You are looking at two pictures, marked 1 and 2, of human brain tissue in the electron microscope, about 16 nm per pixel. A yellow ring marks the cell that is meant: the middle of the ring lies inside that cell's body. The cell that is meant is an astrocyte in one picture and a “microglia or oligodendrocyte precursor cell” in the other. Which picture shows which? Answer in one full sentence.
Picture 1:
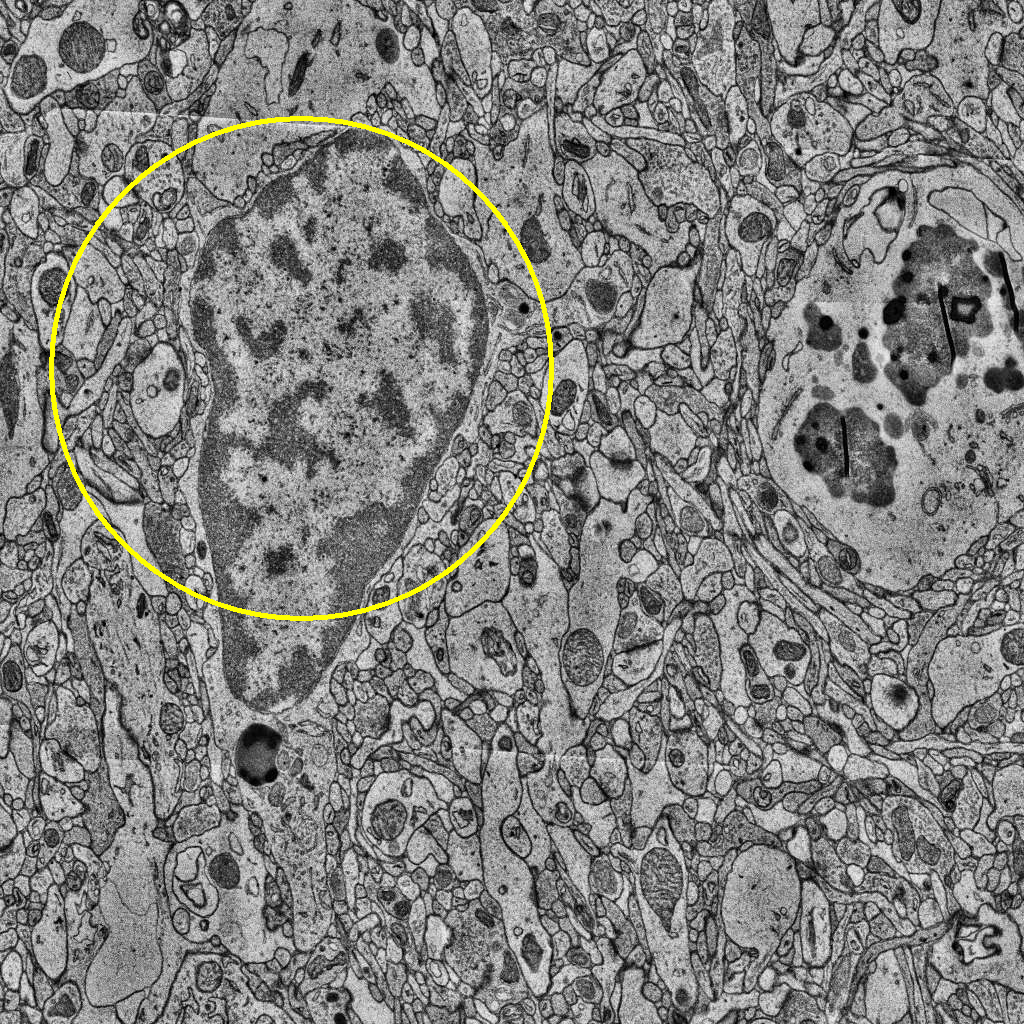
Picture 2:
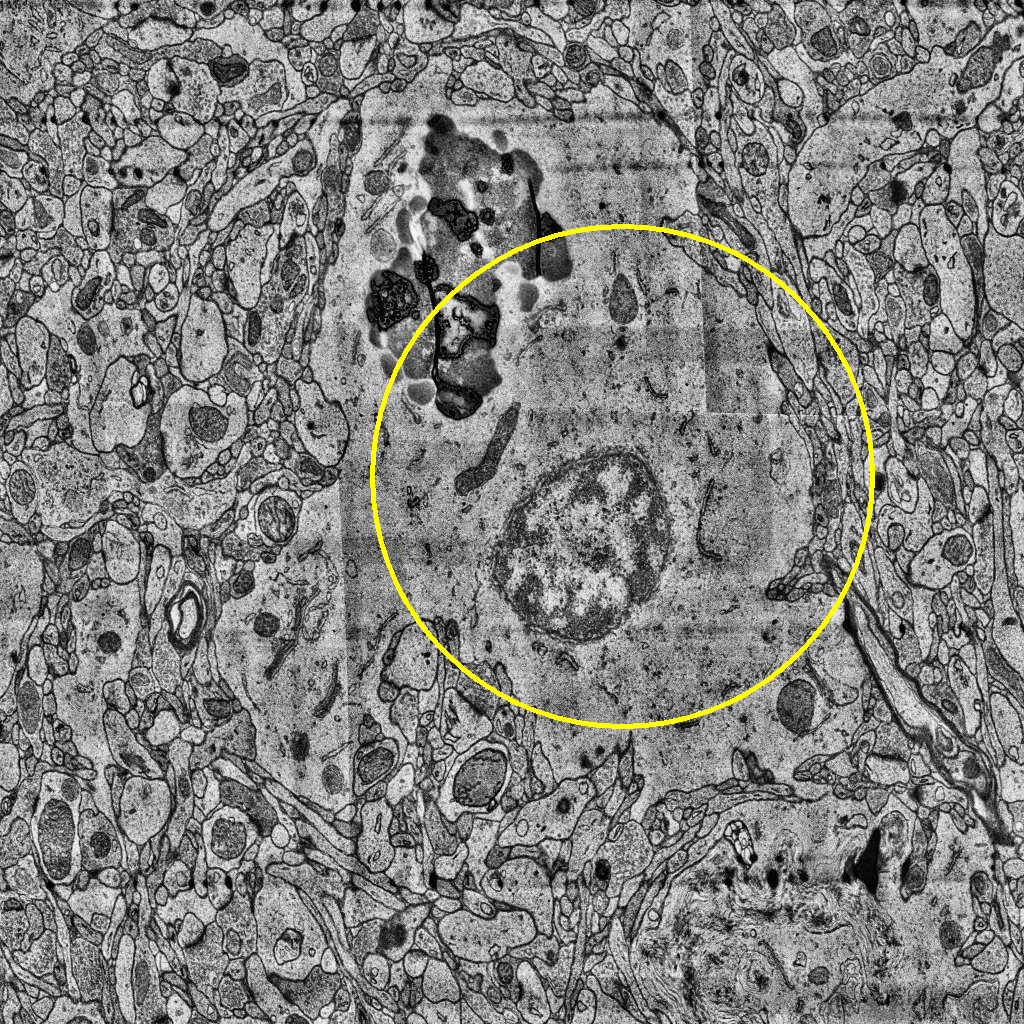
Picture 2 shows an astrocyte, while picture 1 shows a “microglia or oligodendrocyte precursor cell”.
